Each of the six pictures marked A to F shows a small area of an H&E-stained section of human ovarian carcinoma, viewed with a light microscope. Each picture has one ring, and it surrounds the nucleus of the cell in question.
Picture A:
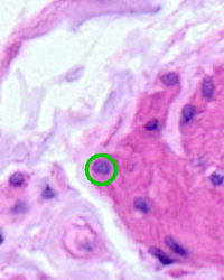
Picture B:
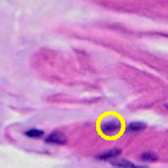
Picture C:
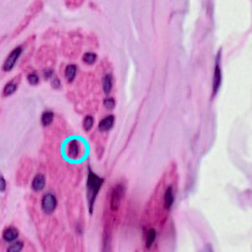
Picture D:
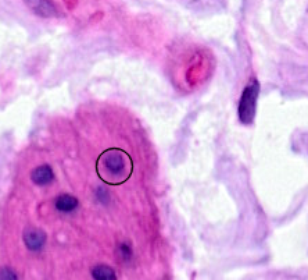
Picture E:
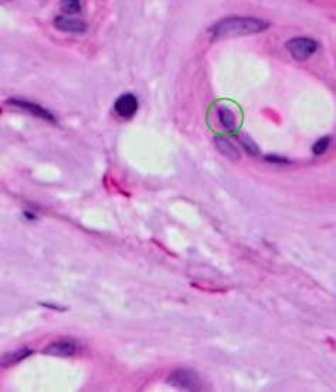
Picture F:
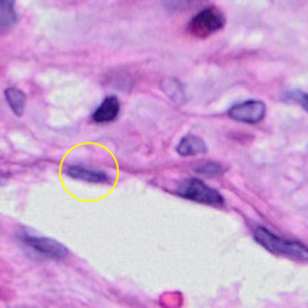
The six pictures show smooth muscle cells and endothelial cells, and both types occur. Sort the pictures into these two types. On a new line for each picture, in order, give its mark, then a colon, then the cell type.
A: smooth muscle cell
B: smooth muscle cell
C: smooth muscle cell
D: smooth muscle cell
E: endothelial cell
F: endothelial cell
